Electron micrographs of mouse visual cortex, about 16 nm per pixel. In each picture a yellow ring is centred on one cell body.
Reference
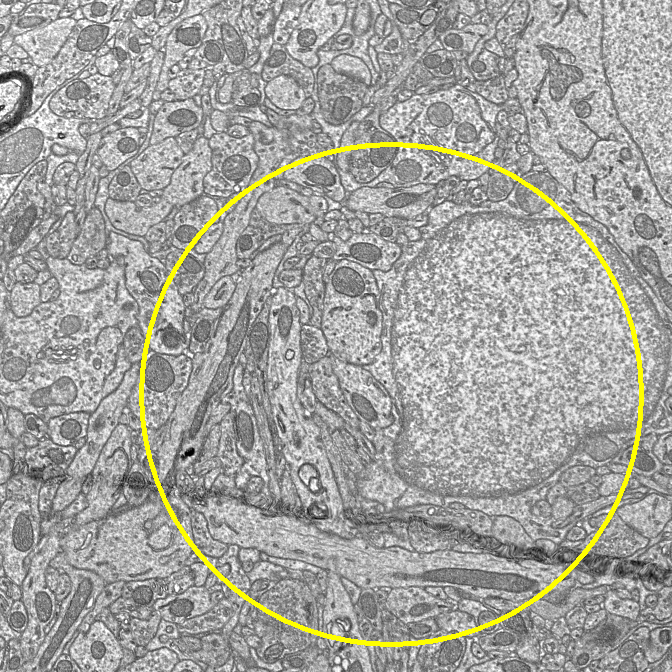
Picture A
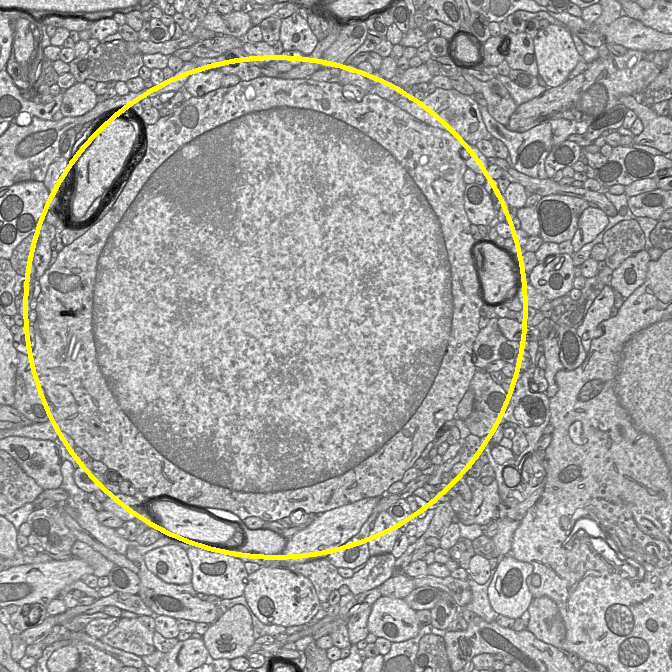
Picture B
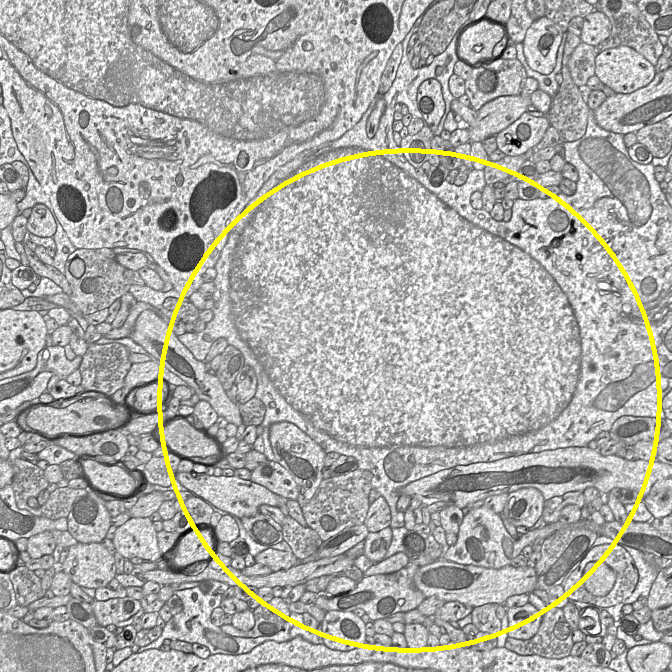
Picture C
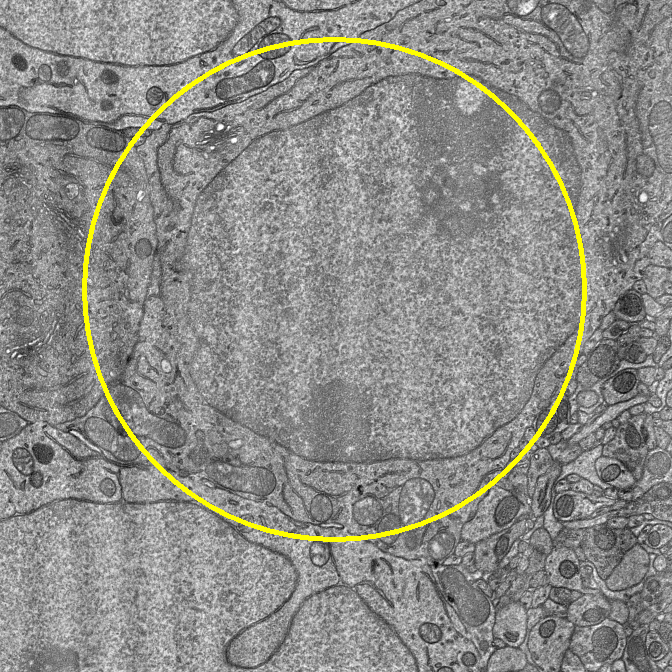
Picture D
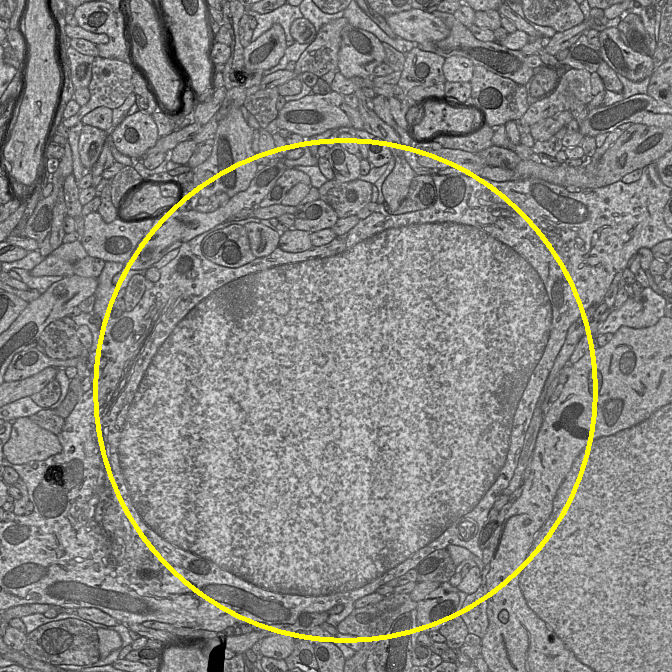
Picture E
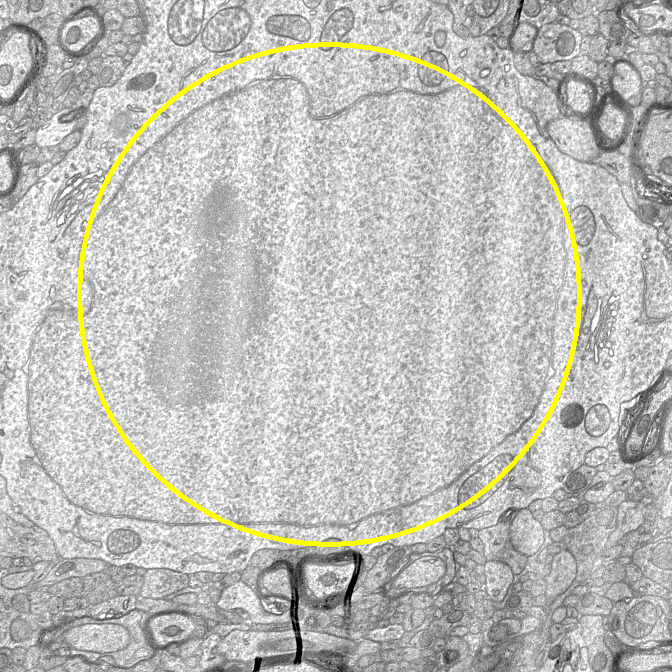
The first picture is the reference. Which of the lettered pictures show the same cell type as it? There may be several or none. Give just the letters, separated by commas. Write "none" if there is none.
B, D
